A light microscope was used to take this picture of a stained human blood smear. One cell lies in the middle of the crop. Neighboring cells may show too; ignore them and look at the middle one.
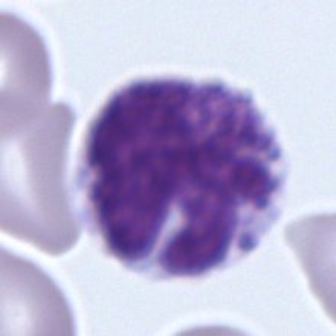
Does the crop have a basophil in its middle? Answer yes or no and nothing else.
yes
